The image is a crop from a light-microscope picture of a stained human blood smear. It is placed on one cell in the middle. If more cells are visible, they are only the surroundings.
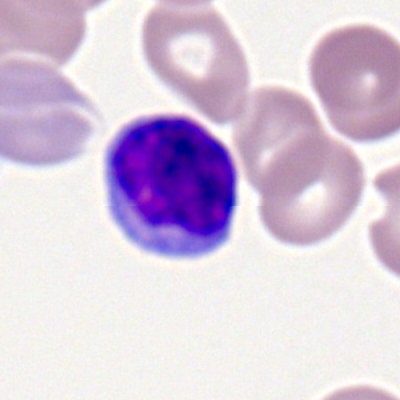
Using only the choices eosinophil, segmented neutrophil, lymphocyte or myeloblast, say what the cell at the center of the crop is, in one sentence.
The cell sitting right in the middle is a lymphocyte.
